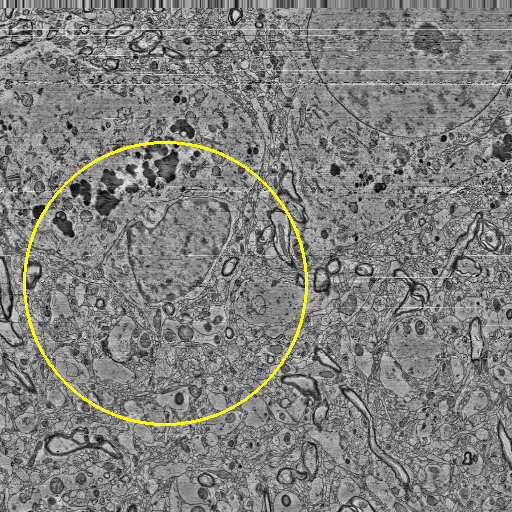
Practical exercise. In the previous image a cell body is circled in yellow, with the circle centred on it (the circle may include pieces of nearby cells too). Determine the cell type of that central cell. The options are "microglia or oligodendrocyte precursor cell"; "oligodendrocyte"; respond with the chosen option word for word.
microglia or oligodendrocyte precursor cell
